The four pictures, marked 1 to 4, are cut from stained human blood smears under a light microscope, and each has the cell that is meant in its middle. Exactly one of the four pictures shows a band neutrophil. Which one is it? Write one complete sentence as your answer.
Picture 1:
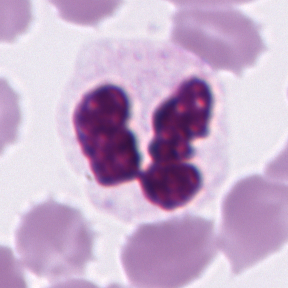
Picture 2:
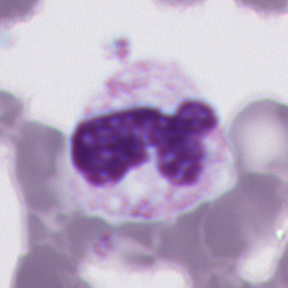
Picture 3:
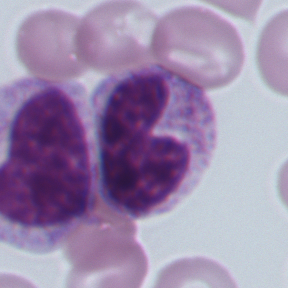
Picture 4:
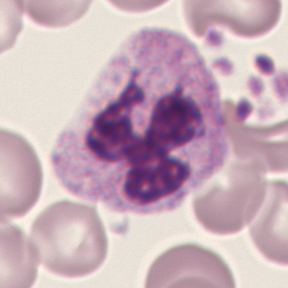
The picture with the band neutrophil is 3.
